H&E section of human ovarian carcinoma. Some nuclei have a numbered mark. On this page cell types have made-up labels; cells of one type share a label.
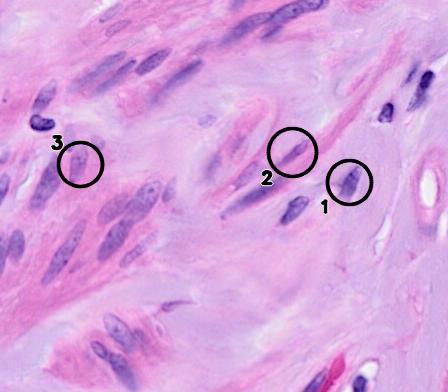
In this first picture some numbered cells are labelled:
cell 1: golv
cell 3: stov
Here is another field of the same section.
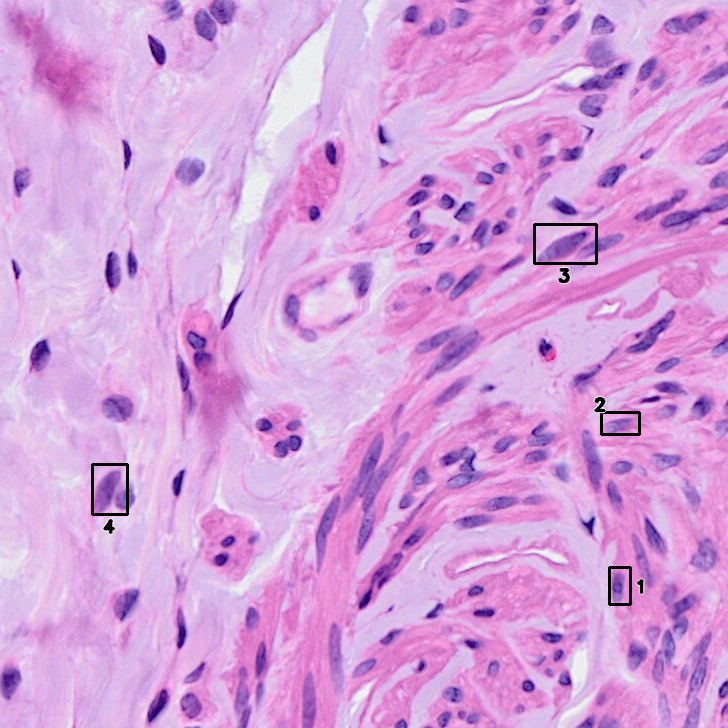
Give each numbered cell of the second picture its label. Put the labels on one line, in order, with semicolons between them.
stov; stov; stov; golv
